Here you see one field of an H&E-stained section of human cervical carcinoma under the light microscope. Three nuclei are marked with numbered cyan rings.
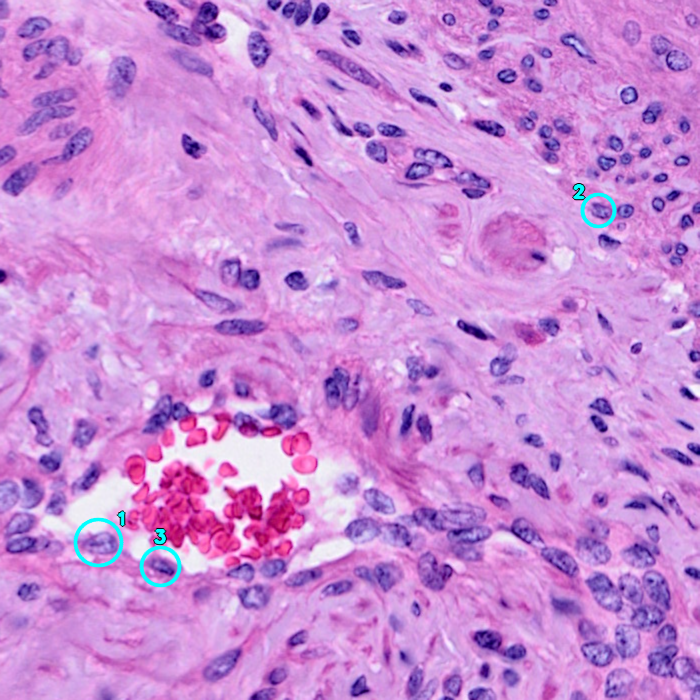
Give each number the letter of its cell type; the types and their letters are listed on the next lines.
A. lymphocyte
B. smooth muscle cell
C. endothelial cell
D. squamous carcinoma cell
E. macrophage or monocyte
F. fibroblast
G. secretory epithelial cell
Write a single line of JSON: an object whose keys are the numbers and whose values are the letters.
{"1": "C", "2": "B", "3": "C"}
